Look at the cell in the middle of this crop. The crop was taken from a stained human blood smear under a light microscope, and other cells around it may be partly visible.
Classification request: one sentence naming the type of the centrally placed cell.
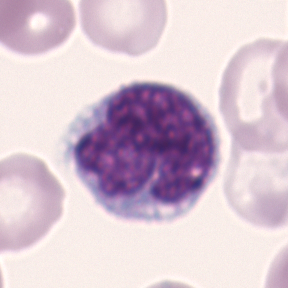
The cell occupying the middle of the crop is a monocyte.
